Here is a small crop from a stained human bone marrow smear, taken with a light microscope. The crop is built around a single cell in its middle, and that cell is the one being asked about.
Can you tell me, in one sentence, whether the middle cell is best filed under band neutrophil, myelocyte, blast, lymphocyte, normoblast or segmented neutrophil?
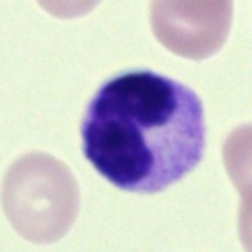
The cell found in the middle of this crop is a band neutrophil.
